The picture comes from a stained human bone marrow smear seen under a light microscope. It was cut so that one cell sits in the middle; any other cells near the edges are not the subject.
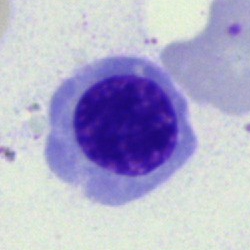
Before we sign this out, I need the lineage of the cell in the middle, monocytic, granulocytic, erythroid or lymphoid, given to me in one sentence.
As for the cell in the middle, its lineage is erythroid.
